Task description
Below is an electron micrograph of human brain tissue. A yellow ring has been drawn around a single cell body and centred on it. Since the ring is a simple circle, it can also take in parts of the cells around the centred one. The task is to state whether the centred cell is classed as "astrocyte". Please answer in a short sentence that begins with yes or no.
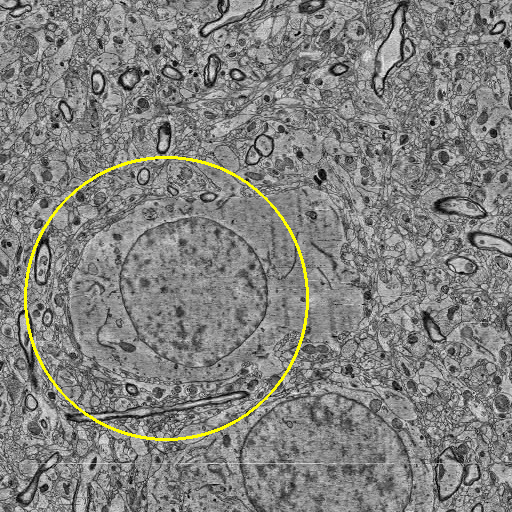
Yes, the centred cell is classed that way.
